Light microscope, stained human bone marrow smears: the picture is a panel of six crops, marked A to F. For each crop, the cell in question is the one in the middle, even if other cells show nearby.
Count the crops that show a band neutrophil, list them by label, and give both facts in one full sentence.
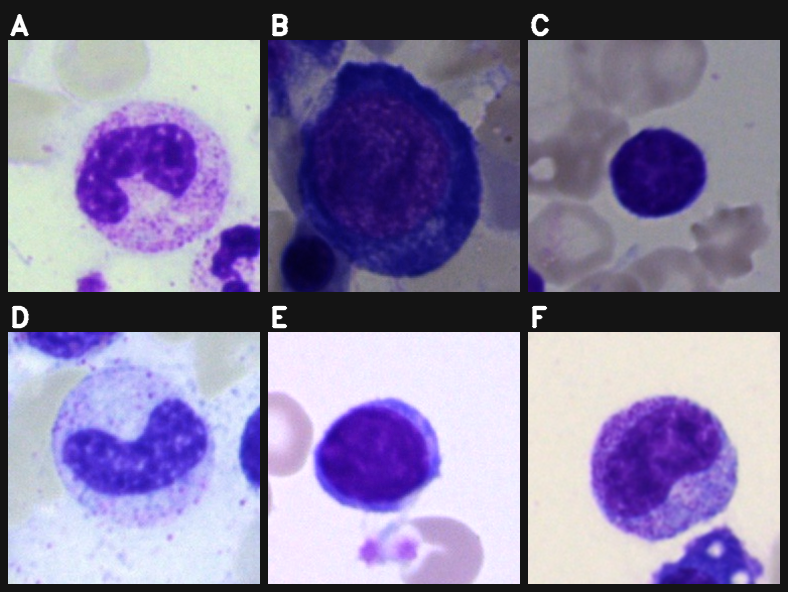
Here, a band neutrophil is shown in one crop only, namely crop D.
